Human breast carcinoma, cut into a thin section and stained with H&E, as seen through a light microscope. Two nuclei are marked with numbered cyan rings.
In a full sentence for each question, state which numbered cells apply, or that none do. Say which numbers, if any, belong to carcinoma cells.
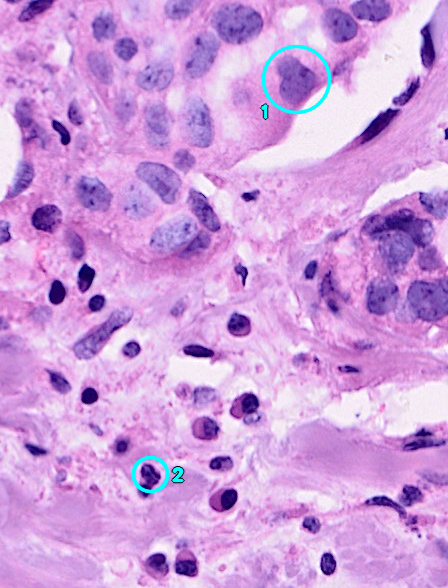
Exactly one numbered cell is a carcinoma cell, and that cell is number 1.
